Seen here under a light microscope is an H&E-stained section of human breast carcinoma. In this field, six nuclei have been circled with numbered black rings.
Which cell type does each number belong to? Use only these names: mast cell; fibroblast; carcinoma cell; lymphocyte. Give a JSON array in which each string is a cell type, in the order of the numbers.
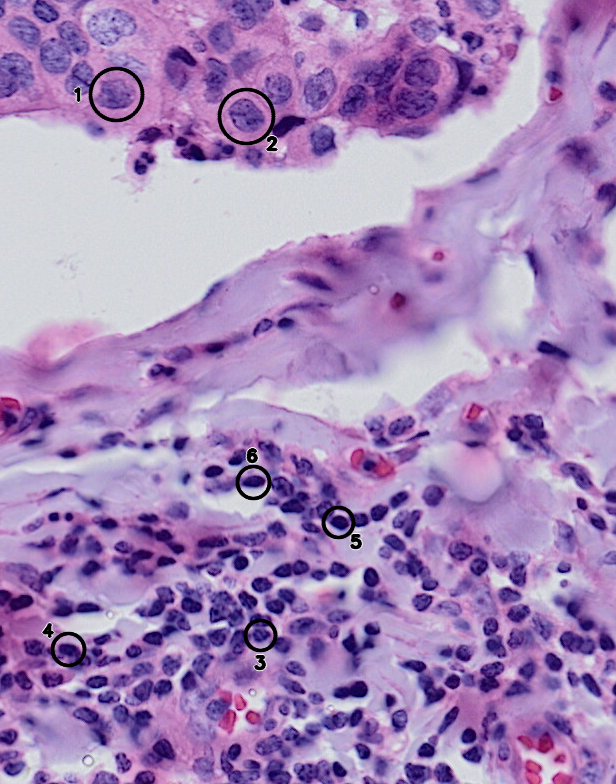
["carcinoma cell", "carcinoma cell", "lymphocyte", "lymphocyte", "lymphocyte", "lymphocyte"]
